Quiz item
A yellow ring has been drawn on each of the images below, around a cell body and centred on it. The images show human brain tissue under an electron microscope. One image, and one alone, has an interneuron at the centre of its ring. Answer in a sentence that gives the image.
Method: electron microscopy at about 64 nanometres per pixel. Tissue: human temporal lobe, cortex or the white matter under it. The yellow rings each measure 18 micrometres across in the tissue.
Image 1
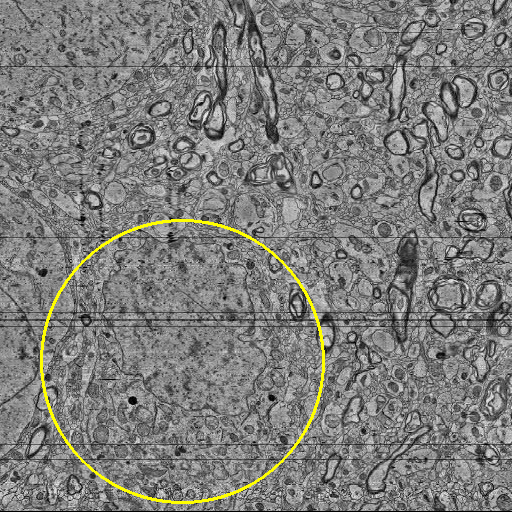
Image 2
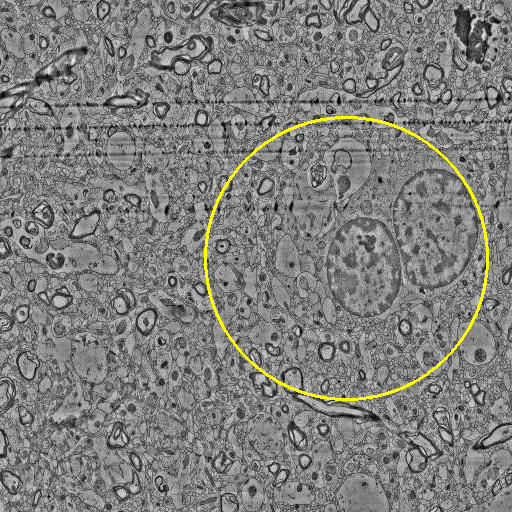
Image 1 shows it at the centre of the ring.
